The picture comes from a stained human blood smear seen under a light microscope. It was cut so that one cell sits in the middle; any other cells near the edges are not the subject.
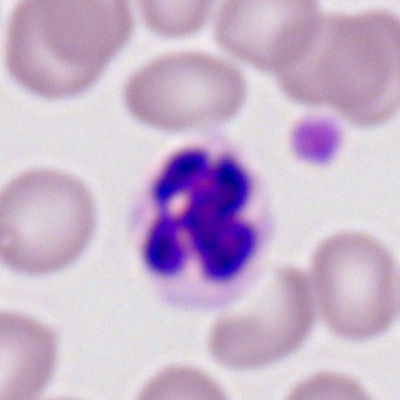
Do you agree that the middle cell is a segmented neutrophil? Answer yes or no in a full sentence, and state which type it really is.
Yes, the cell under consideration, the one in the middle, is a segmented neutrophil.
